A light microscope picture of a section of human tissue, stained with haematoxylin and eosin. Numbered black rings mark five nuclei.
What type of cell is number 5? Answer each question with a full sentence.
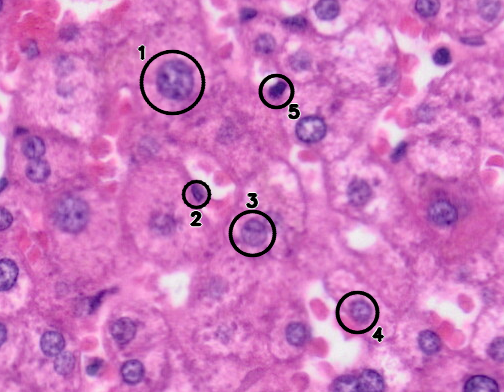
Classified as a fibroblast or stellate cell is the cell with the number 5.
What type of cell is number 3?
The expected answer is that cell 3 is a hepatocyte.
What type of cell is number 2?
The correct answer for cell 2 is a Kupffer cell.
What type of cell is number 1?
Identified by the number 1, the cell is a hepatocyte.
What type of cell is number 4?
It is as a hepatocyte that the cell numbered 4 is identified.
